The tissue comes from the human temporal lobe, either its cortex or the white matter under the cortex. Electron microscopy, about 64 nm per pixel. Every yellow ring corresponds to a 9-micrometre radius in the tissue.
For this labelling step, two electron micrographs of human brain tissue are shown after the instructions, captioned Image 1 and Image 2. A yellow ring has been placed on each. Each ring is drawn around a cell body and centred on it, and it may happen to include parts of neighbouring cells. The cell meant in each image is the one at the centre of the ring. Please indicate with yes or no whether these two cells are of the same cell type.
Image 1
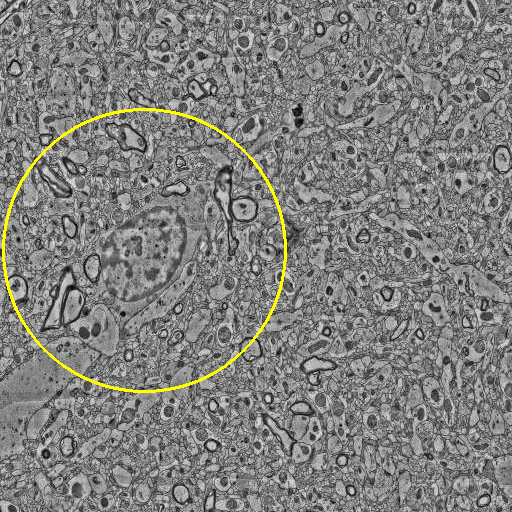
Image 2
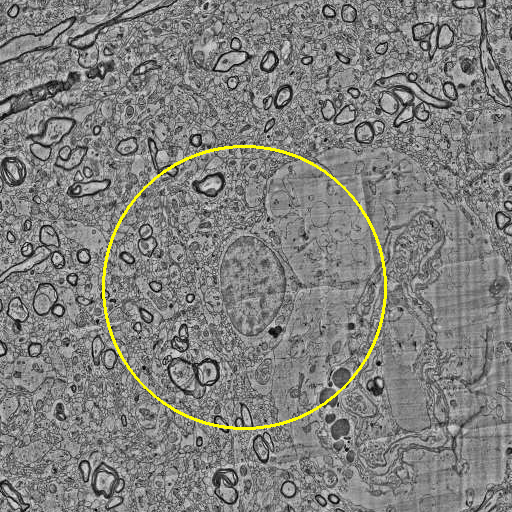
yes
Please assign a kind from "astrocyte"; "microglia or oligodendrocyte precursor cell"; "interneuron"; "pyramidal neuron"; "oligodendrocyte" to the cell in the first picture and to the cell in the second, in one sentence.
The first and the second cell are each an oligodendrocyte.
